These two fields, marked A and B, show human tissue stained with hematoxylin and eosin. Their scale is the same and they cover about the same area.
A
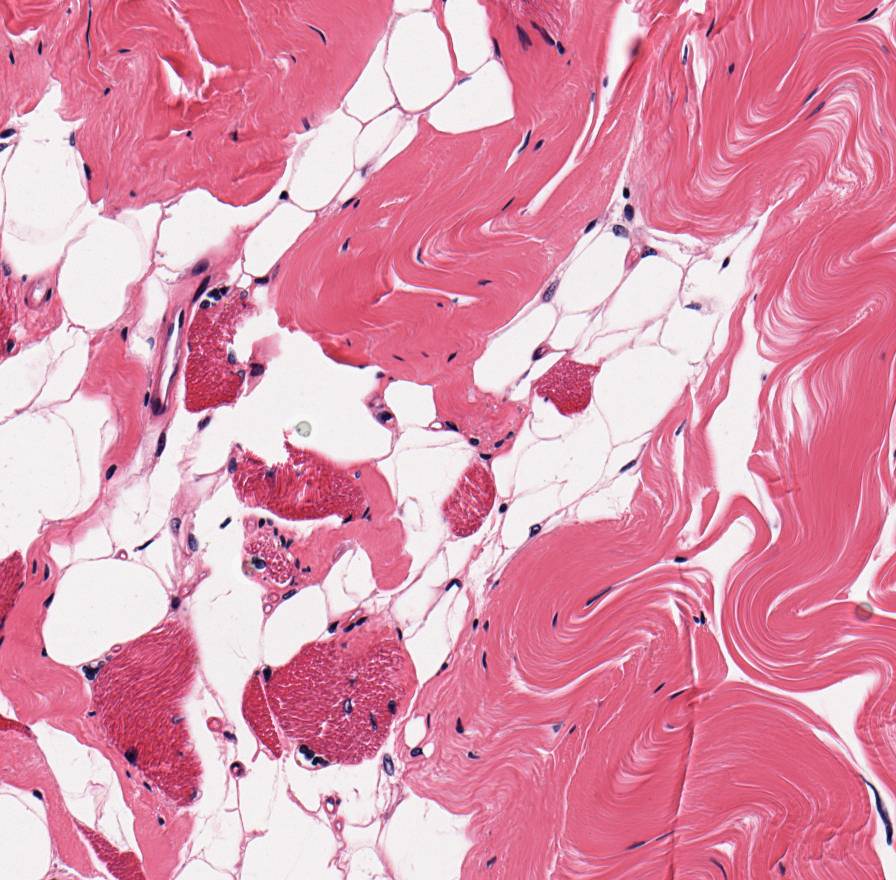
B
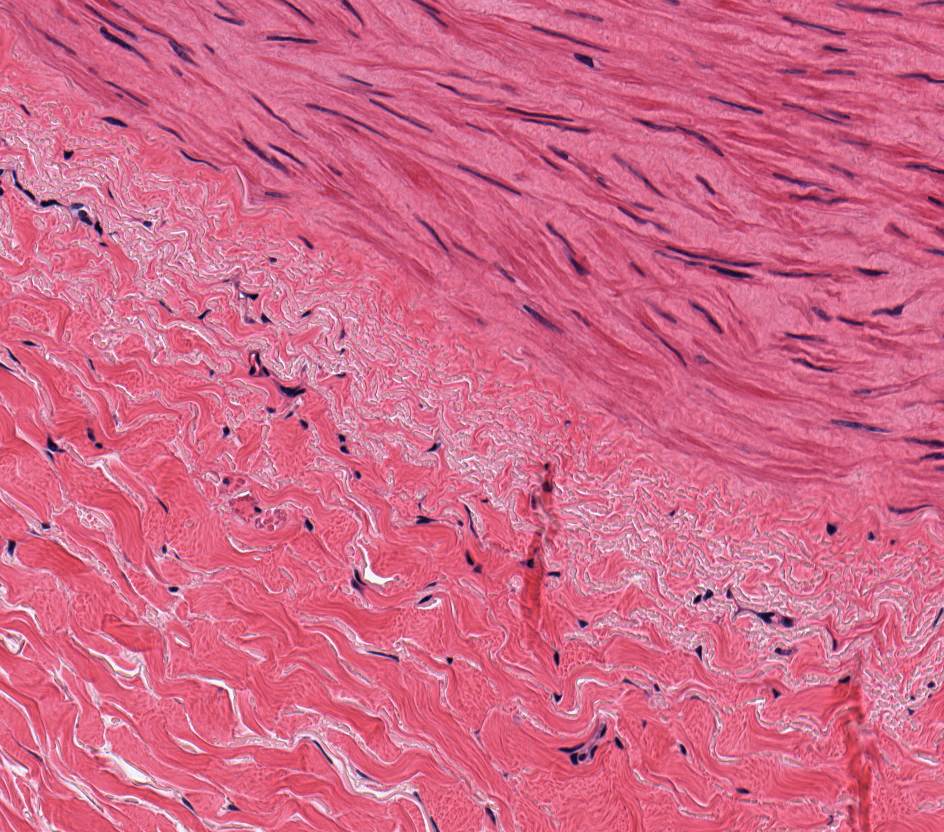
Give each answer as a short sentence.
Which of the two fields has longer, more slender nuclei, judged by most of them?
The nuclei are more elongated in field B.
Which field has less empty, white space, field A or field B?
Unstained space takes up less of field B than of field A.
